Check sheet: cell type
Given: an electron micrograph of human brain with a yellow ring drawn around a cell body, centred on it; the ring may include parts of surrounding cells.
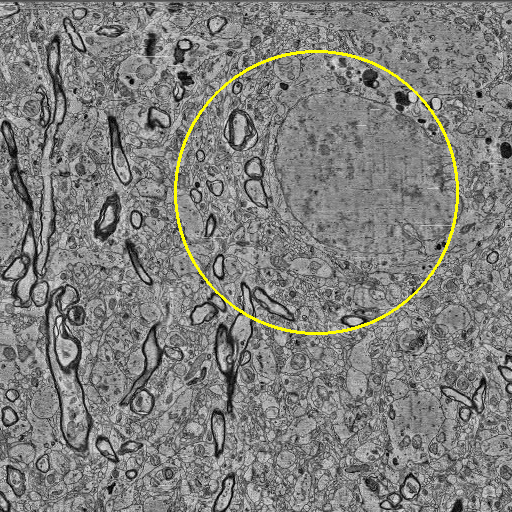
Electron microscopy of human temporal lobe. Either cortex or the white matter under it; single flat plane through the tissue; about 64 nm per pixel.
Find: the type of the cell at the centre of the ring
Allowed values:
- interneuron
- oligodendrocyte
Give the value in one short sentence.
Here the ringed cell is an interneuron.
